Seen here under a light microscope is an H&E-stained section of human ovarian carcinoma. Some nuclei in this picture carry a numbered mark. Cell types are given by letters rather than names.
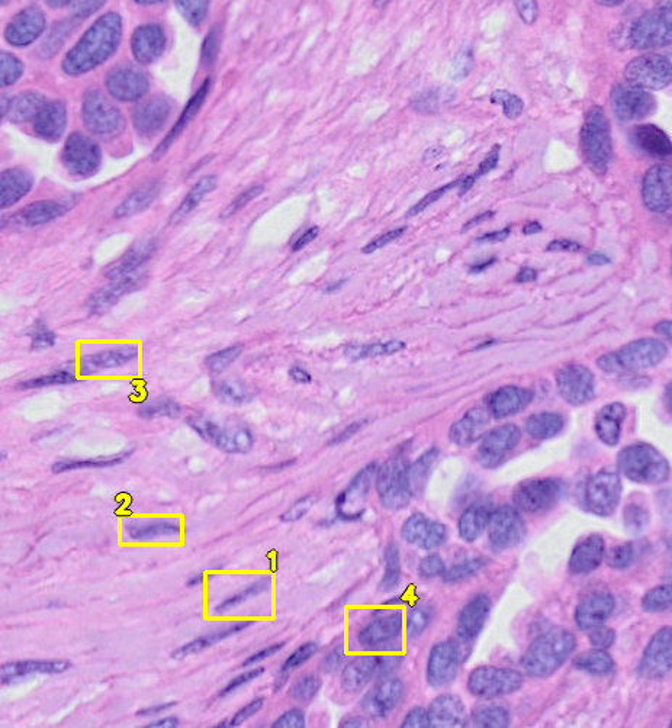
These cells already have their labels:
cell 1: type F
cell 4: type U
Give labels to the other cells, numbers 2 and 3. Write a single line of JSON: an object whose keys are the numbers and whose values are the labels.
{"2": "type F", "3": "type F"}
